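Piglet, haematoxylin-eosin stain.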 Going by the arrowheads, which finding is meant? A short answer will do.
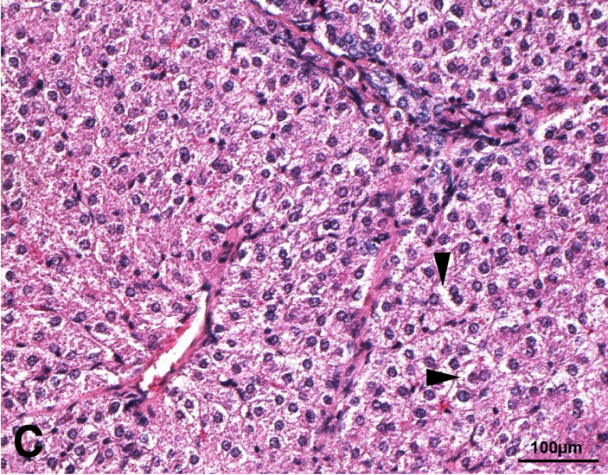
vacuolar degeneration of the hepatocytes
